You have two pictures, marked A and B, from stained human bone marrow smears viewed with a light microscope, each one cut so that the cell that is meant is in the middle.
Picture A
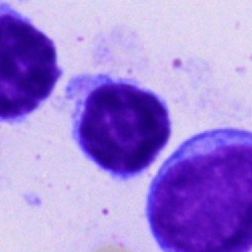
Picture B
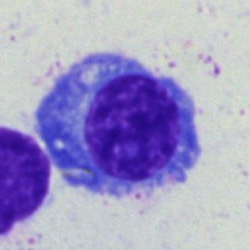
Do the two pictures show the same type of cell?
no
